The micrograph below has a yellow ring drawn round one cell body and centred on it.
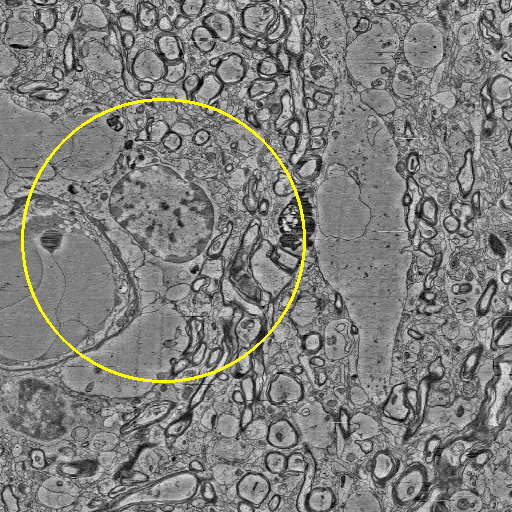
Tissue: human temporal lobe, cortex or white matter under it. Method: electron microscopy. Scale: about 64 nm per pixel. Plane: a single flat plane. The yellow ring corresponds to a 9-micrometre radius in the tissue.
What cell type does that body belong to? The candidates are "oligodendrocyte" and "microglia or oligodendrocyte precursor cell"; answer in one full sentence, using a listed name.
This is a microglial cell or oligodendrocyte precursor cell, the cell whose body lies at the centre of the ring.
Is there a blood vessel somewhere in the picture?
Yes, the image shows a blood vessel.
